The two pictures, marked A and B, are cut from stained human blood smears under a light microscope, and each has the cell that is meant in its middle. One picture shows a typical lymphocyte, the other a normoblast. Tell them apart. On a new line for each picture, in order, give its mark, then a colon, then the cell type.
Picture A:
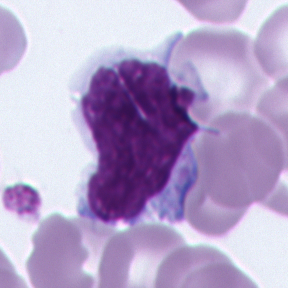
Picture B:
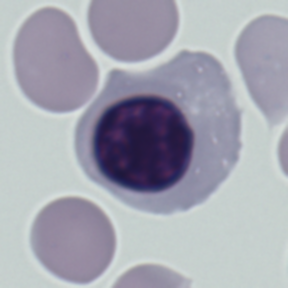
A: typical lymphocyte
B: normoblast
